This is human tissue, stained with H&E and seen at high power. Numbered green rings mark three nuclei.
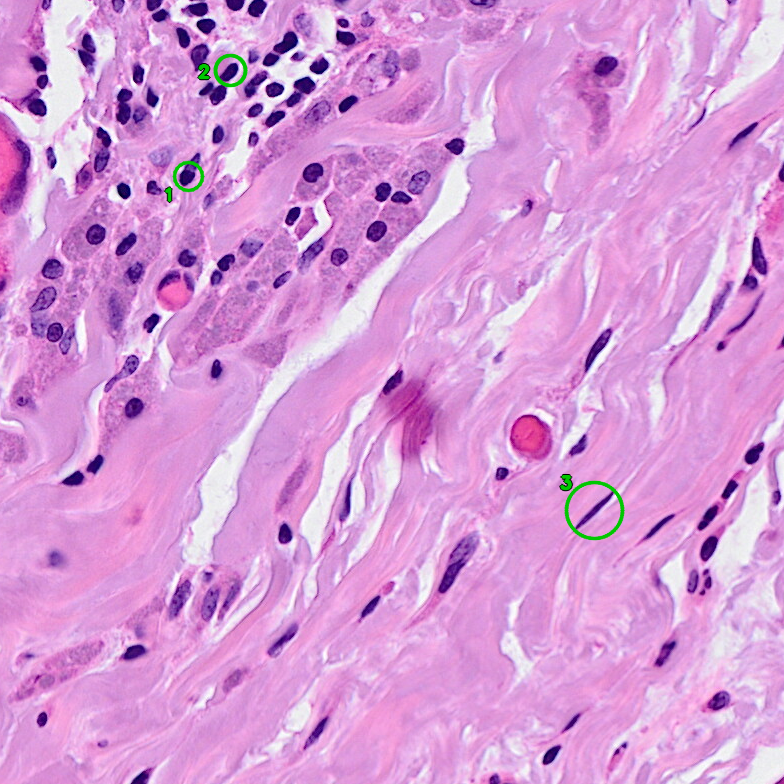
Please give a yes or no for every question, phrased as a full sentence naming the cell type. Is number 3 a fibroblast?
Yes, the cell whose number is 3 is a fibroblast.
